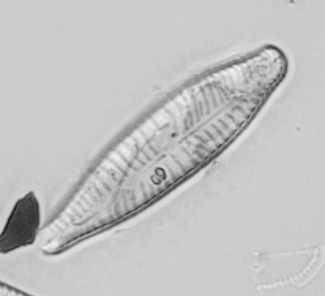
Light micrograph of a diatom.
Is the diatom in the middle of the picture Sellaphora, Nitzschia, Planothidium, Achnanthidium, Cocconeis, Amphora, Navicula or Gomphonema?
It is Gomphonema.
